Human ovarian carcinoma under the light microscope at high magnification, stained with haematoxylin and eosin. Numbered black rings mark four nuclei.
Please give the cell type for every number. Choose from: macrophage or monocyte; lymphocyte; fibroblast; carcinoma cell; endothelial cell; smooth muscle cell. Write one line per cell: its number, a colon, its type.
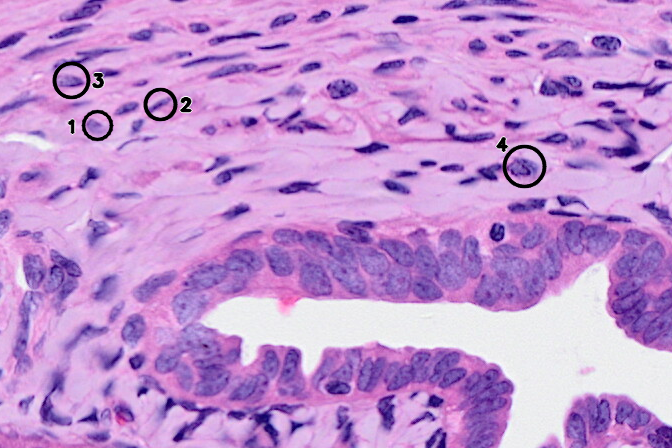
1: smooth muscle cell
2: smooth muscle cell
3: smooth muscle cell
4: endothelial cell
